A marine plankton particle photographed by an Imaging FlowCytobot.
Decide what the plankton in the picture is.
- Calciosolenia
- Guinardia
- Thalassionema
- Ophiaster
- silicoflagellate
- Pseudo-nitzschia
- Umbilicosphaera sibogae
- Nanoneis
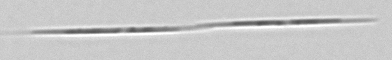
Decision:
Pseudo-nitzschia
